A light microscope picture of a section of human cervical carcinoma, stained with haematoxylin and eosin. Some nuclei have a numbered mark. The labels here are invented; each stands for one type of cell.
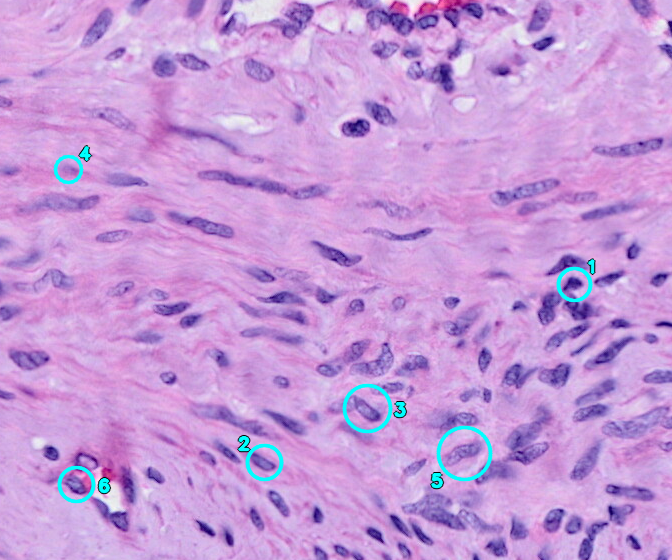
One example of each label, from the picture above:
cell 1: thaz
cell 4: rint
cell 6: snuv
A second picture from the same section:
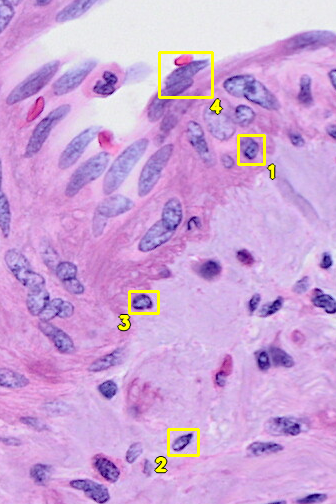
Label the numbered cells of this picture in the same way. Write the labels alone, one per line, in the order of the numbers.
rint
thaz
rint
snuv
